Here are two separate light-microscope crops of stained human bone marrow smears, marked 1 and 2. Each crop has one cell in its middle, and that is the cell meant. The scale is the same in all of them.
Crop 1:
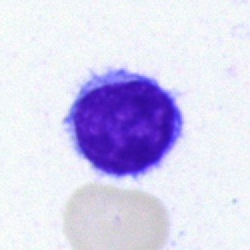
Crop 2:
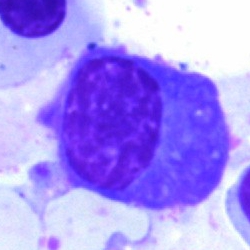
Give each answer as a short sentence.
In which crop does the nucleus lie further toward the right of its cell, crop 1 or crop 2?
It is the nucleus in crop 1 that lies further toward the right of its cell.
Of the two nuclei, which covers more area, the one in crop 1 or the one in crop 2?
Crop 2 shows the larger nucleus; it covers about 1.5 times the area of the nucleus in crop 1.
